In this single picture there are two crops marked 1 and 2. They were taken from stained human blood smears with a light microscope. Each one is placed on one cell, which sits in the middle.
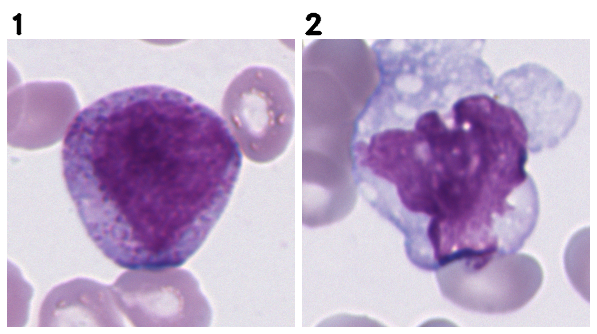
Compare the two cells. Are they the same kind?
no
